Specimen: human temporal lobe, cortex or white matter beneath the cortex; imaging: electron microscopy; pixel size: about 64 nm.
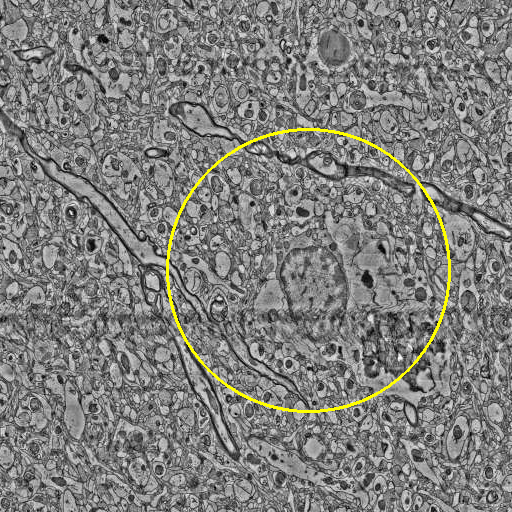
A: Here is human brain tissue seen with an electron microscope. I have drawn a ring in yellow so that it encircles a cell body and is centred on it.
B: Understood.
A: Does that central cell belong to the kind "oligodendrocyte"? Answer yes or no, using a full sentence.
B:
Yes, the central cell inside your yellow ring belongs to that kind.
